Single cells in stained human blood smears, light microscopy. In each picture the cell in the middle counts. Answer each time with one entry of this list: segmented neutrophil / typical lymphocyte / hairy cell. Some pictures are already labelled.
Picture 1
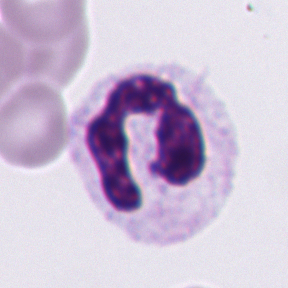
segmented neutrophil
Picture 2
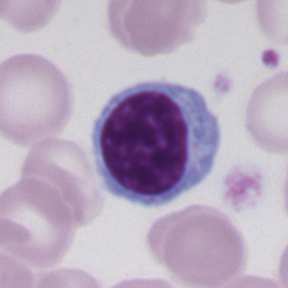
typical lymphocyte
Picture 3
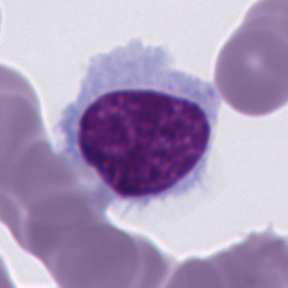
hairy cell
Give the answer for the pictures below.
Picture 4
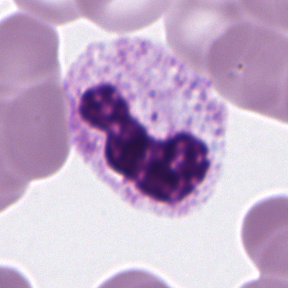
segmented neutrophil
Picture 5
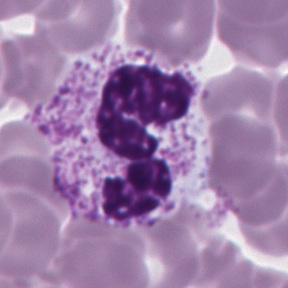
segmented neutrophil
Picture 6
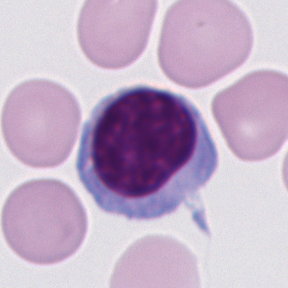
typical lymphocyte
